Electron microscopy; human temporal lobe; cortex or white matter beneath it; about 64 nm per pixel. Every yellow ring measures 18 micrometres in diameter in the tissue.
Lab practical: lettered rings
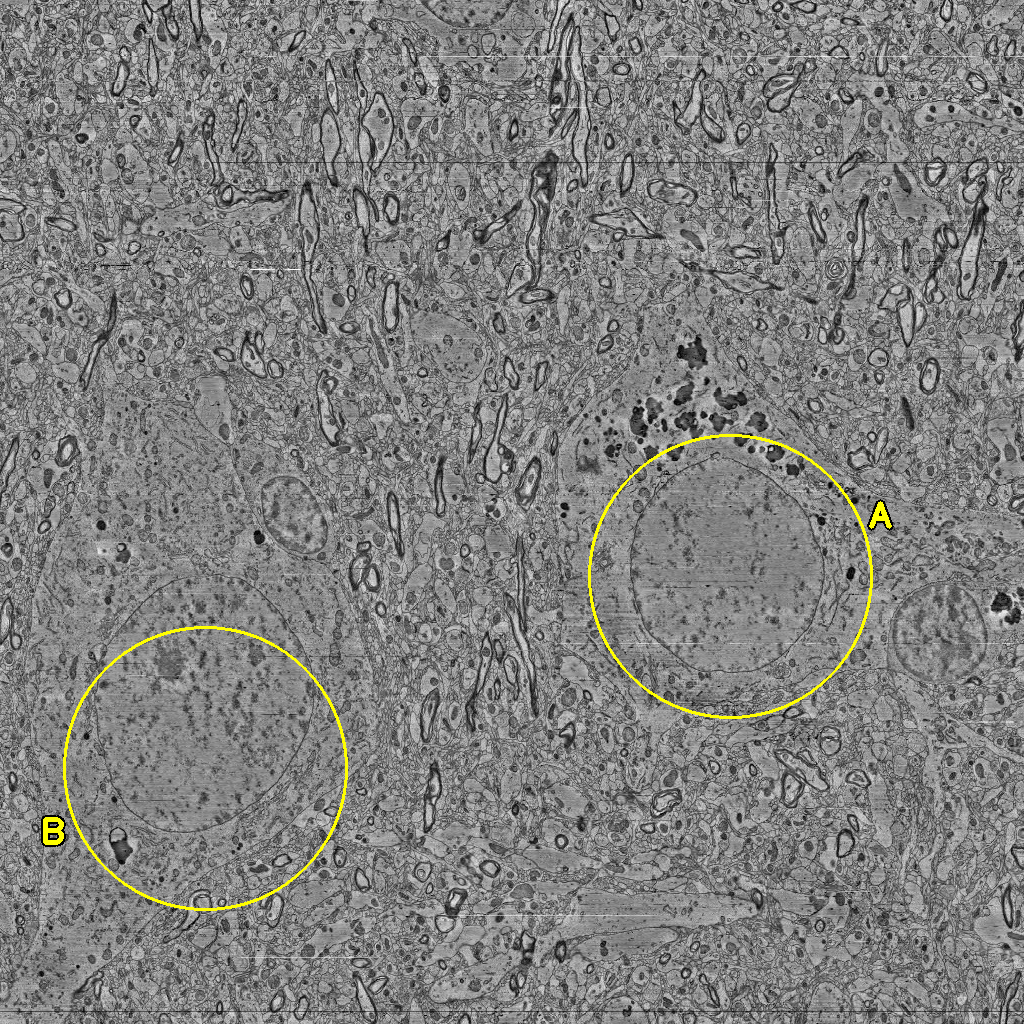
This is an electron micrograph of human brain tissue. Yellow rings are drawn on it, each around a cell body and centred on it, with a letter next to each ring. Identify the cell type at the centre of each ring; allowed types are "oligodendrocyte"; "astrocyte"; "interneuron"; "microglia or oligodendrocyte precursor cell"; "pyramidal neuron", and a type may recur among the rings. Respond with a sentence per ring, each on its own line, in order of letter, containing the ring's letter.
Lying at the centre of ring A is a pyramidal neuron.
Lying at the centre of ring B is a pyramidal neuron.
